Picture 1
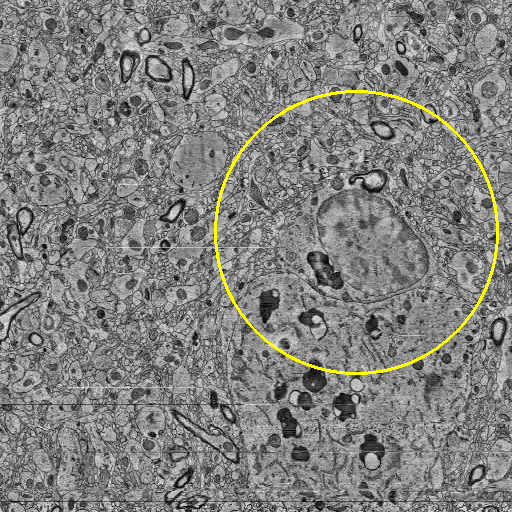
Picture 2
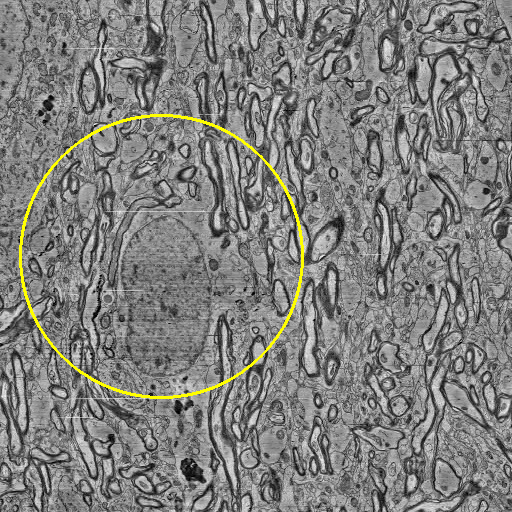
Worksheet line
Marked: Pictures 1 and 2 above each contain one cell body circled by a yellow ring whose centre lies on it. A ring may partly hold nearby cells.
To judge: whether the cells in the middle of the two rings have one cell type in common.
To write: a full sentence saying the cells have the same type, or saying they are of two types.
The cells in the middle of the rings in Picture 1 and Picture 2 are of two types.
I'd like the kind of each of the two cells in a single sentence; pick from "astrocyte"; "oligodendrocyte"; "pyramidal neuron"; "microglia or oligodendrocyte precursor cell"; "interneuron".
The first ring marks an oligodendrocyte, and the second ring marks an astrocyte.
